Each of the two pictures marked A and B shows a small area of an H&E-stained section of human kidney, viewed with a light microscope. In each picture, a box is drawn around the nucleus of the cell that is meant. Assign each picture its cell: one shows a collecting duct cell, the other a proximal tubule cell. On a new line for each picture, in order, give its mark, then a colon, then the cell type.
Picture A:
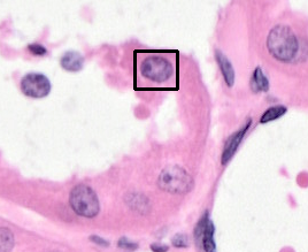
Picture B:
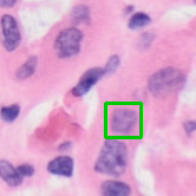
A: proximal tubule cell
B: collecting duct cell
